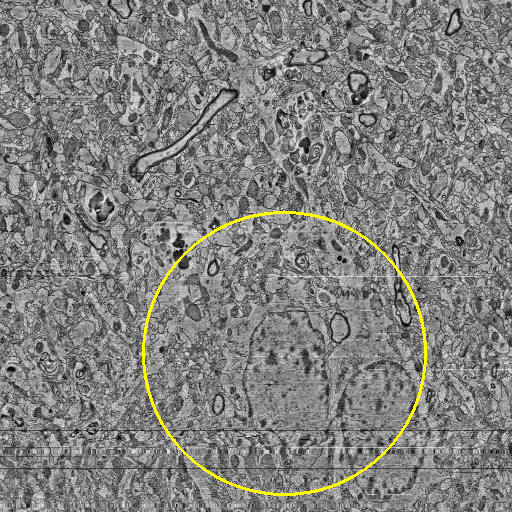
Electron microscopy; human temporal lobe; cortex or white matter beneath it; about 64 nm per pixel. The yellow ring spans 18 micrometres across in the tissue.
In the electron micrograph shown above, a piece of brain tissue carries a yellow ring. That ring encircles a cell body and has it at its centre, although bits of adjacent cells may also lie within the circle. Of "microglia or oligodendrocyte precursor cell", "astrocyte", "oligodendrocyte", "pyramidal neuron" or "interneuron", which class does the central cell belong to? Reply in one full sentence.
The cell body at the centre of the yellow ring belongs to an astrocyte.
